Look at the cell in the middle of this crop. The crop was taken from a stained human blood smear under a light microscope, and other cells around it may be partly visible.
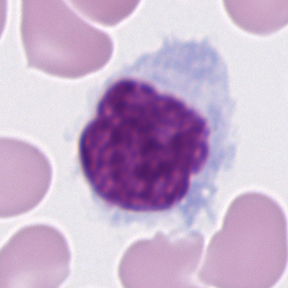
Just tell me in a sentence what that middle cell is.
Of the cells in this crop, the central one is a hairy cell.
